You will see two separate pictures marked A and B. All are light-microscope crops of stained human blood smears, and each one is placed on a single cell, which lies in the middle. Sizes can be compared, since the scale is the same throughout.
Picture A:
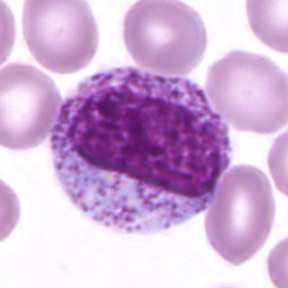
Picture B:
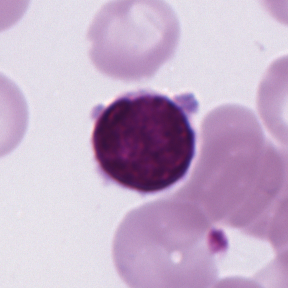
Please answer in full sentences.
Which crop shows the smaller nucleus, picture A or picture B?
Smaller is the nucleus in picture B, and the other is about 1.5 times as large in area.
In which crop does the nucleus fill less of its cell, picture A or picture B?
The nucleus fills less of the cell in picture A than in picture B.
